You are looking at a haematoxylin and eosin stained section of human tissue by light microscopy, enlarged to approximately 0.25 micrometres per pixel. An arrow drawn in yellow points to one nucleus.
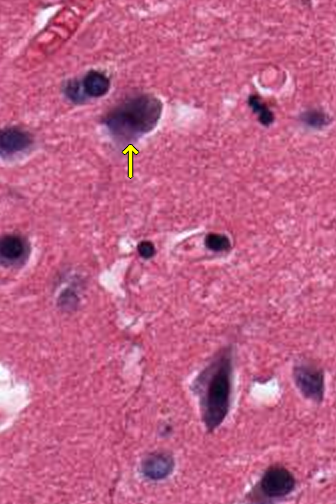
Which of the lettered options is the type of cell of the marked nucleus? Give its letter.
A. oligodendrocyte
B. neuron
B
